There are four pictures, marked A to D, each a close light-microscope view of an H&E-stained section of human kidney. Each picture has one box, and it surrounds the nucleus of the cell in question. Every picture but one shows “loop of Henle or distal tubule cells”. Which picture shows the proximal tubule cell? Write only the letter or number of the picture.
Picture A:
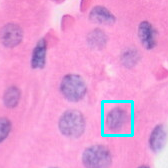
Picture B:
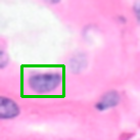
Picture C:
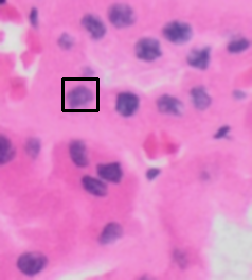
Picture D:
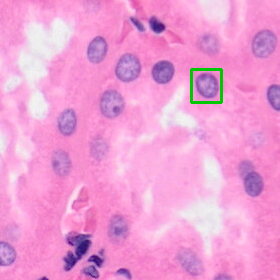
D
